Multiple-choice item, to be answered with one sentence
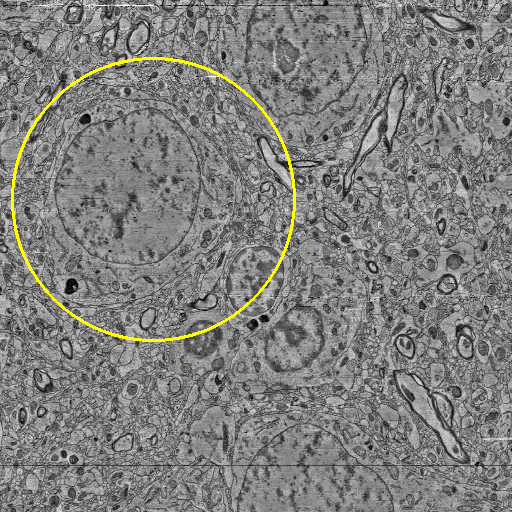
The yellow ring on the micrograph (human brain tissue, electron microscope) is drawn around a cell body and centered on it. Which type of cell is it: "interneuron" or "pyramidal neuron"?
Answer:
The ring is centered on a pyramidal neuron.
